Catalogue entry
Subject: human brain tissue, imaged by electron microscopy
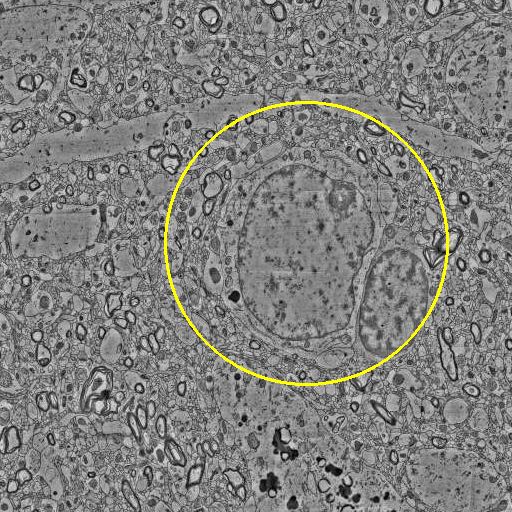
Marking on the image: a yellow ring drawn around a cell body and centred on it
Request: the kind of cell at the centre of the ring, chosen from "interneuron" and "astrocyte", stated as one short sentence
The ring has an interneuron at its centre.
